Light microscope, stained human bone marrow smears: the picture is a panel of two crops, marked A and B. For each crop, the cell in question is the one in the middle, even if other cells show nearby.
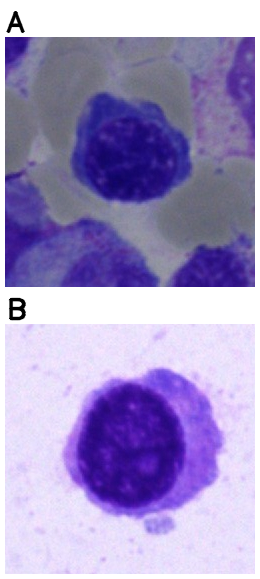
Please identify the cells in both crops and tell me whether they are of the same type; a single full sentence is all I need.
No, cell A is an erythroblast, and cell B is a plasma cell.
